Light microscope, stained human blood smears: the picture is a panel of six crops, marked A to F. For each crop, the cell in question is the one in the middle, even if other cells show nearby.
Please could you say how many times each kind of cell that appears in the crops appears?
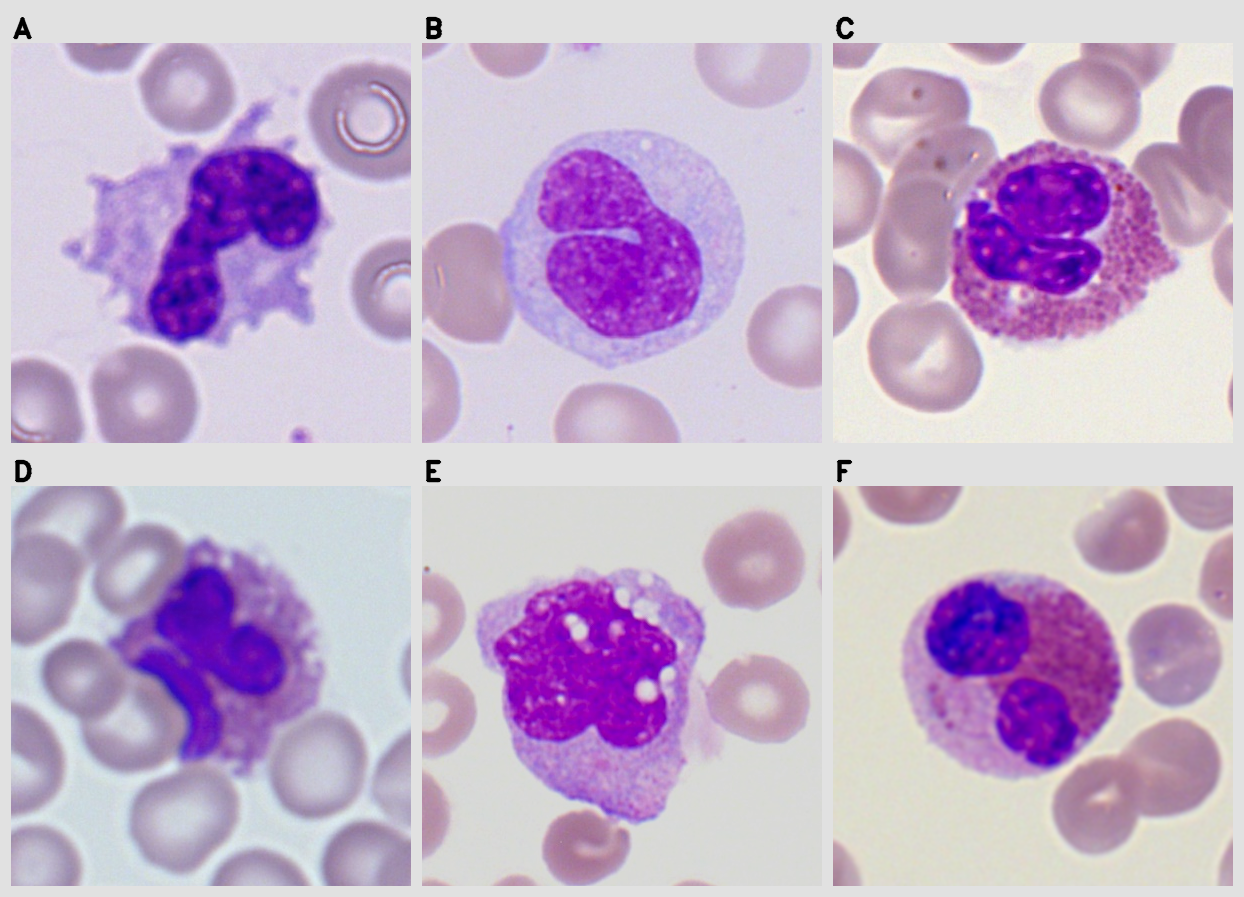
monocyte: 3
eosinophil: 3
